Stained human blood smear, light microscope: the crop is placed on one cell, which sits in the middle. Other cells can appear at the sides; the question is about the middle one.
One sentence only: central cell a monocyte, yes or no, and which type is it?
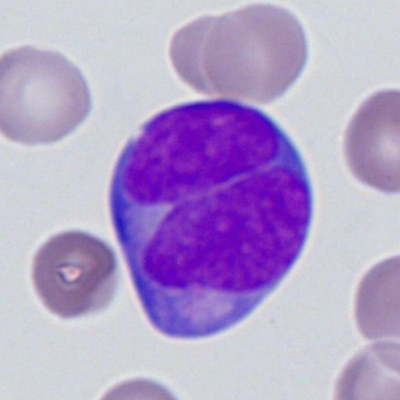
No, a monocyte is not what the central cell is; it is a myeloblast.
